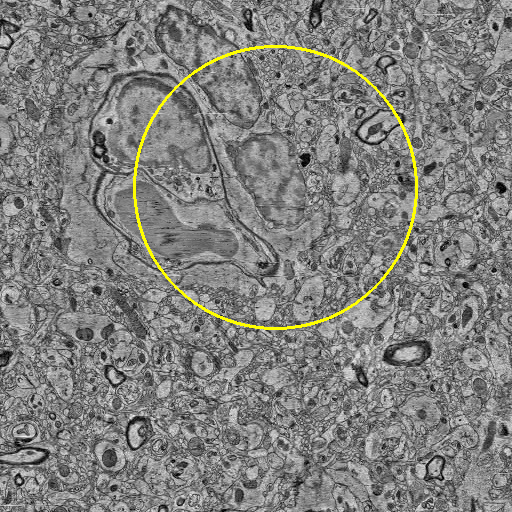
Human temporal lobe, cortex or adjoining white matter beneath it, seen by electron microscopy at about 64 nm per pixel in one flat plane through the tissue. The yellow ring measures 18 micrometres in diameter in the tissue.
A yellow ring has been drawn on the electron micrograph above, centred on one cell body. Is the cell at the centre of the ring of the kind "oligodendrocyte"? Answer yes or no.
yes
